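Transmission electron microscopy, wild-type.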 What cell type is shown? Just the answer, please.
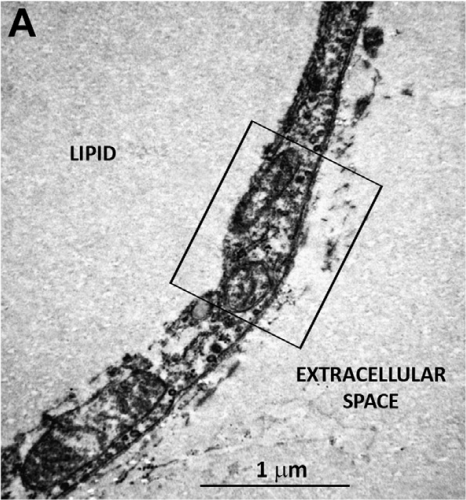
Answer: White adipocytes.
